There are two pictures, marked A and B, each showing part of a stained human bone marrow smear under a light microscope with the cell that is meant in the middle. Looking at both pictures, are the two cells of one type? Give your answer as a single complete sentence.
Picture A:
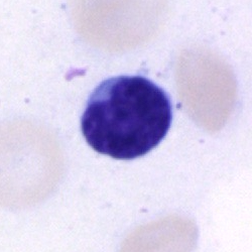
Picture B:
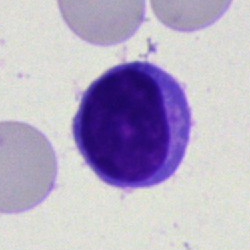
Yes, both are lymphocytes.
